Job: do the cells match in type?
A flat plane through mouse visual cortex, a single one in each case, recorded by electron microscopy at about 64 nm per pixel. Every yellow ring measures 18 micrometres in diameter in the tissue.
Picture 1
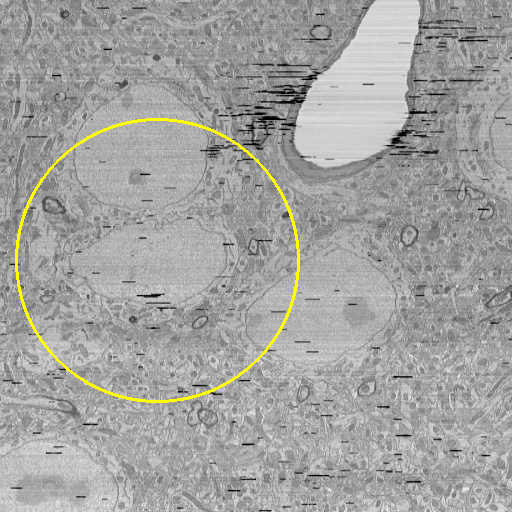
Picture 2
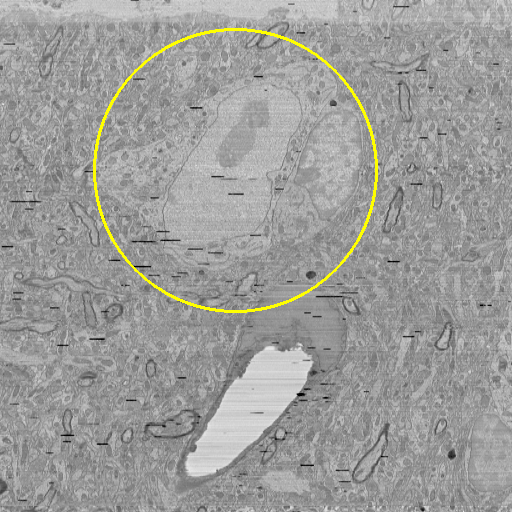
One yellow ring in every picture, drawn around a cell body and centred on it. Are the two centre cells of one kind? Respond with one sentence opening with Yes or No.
No, the ringed cells in the two pictures are of two separate kinds.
